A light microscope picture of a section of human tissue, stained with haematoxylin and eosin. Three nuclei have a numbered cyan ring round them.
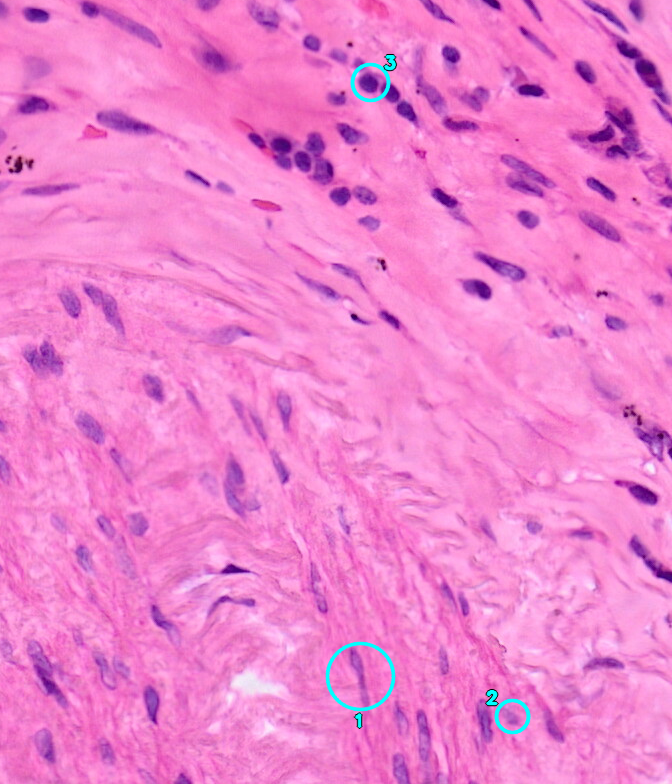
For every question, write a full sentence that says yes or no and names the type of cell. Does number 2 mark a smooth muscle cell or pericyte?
Yes, the cell corresponding to number 2 is a smooth muscle cell or pericyte.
